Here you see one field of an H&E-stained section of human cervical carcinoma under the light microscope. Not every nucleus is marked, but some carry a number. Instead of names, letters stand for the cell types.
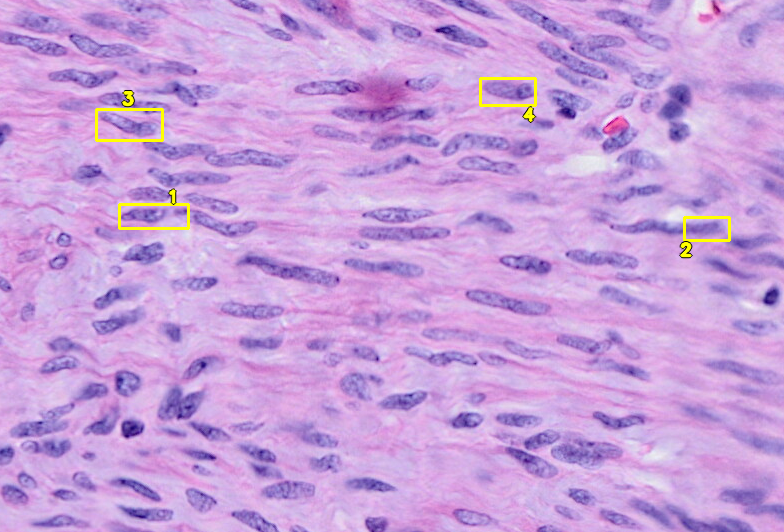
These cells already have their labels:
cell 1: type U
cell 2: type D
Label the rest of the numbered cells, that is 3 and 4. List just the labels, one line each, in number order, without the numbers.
type U
type U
